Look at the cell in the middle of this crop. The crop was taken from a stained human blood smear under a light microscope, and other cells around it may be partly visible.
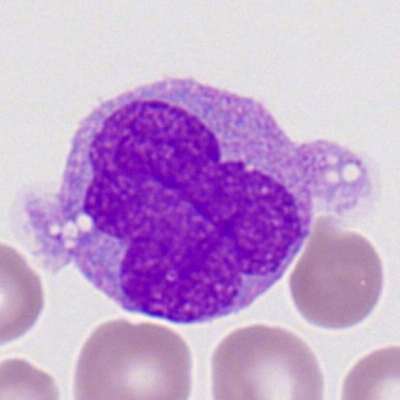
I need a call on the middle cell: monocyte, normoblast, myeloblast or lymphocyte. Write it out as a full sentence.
The identification for the central cell is a monocyte.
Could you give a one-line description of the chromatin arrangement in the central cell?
What stands out is fine chromatin lacking any coarse clumps.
